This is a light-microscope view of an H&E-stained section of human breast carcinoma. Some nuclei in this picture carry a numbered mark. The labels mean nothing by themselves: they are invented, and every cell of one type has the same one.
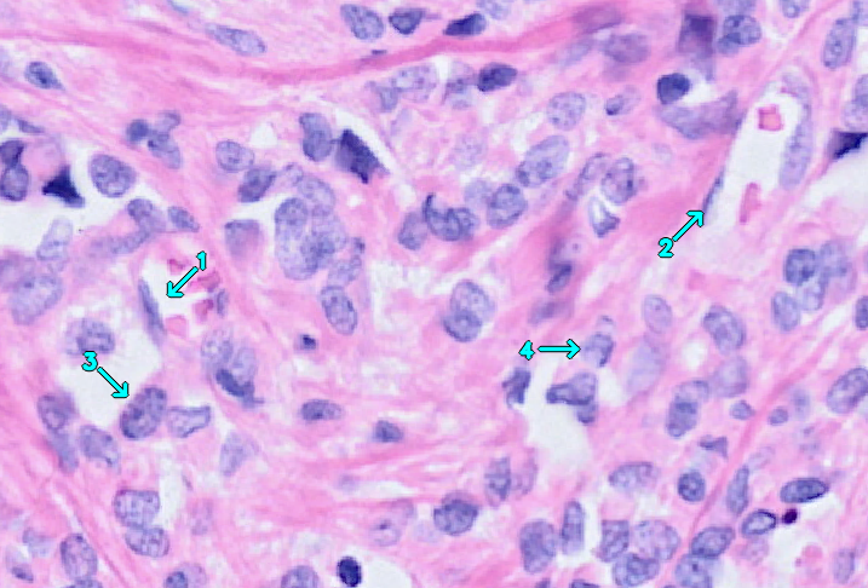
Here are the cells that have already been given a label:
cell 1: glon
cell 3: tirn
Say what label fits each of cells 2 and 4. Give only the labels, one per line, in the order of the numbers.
glon
tirn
